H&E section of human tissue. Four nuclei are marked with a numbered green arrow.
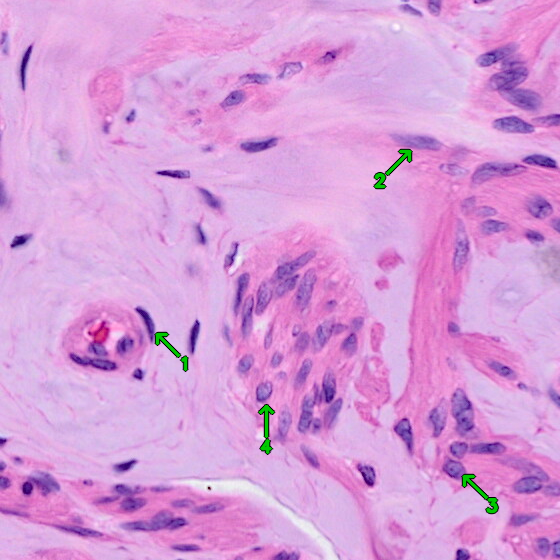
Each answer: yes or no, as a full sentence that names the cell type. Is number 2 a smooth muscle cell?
Yes, a smooth muscle cell is what the cell numbered 2 is.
